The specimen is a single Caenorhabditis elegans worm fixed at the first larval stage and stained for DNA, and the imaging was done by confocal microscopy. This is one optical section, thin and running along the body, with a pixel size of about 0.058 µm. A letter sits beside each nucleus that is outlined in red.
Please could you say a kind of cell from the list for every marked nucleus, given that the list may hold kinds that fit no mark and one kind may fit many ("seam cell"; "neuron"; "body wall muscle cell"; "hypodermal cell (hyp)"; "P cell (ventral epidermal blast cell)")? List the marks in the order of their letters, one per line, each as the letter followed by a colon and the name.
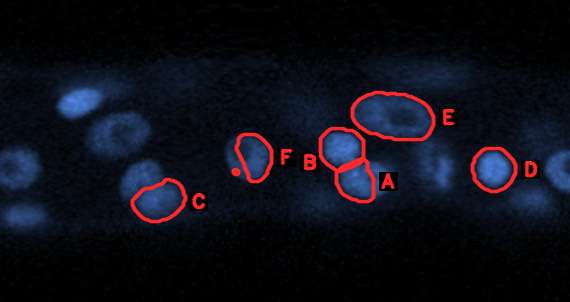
A: P cell (ventral epidermal blast cell)
B: neuron
C: body wall muscle cell
D: neuron
E: hypodermal cell (hyp)
F: seam cell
